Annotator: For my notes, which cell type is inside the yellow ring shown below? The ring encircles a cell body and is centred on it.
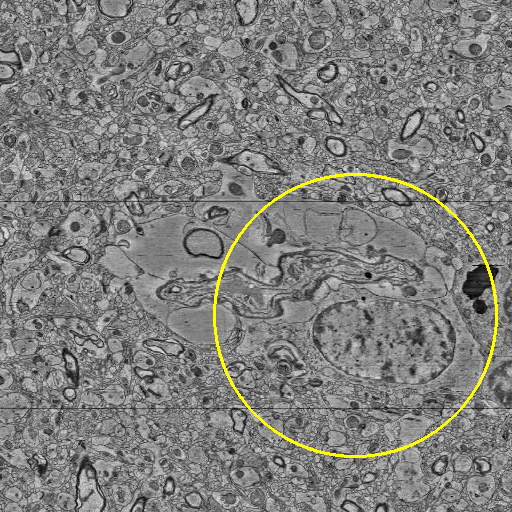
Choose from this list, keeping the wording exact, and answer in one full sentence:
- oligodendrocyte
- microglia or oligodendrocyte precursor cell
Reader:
At the centre of the yellow ring there is a microglial cell or oligodendrocyte precursor cell, as shown in the picture.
